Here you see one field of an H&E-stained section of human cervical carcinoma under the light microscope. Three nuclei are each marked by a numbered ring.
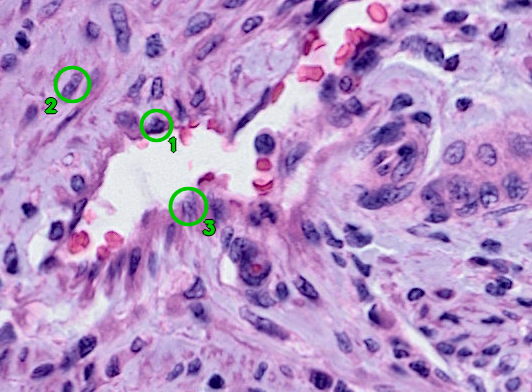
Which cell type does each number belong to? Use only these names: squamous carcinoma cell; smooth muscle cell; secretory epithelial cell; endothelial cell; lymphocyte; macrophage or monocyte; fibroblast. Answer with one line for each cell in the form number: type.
1: endothelial cell
2: smooth muscle cell
3: endothelial cell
